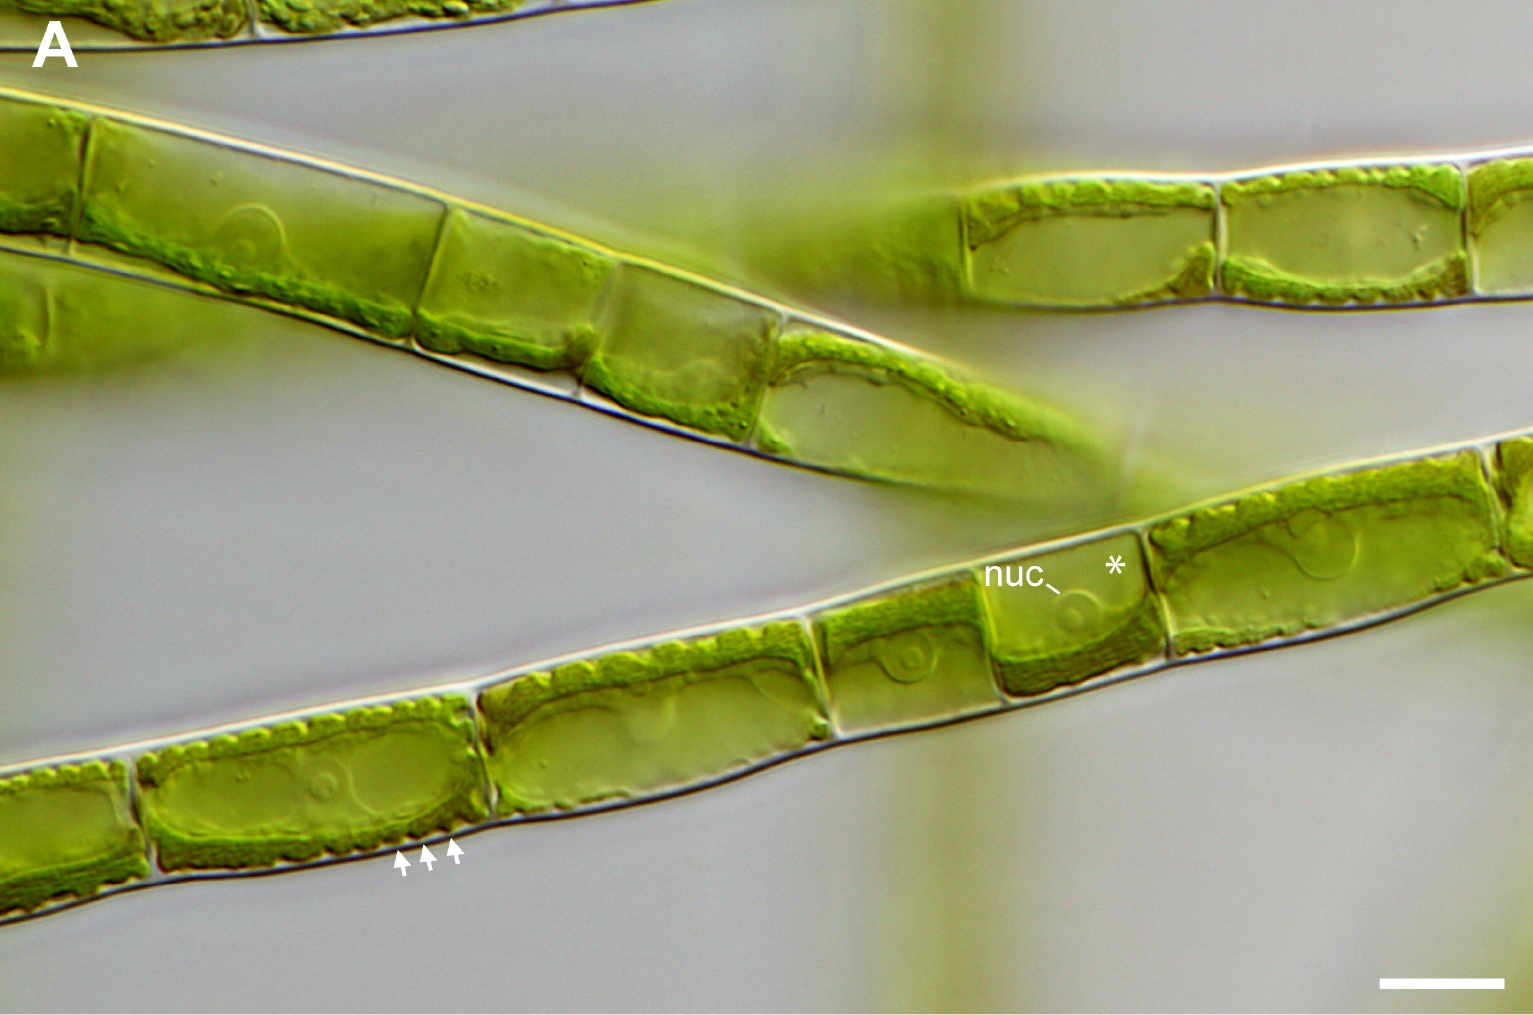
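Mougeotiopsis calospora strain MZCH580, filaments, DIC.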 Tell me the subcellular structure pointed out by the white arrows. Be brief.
Indented chloroplast margins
